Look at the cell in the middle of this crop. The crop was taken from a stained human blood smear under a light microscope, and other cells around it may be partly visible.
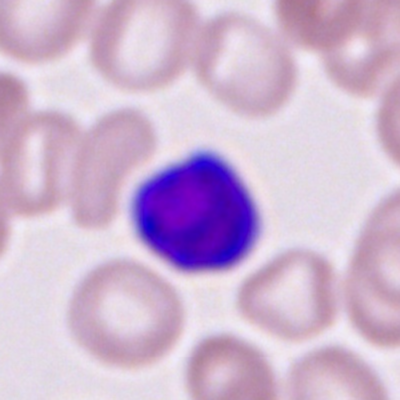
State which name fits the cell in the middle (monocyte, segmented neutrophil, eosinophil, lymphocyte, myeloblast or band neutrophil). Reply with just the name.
lymphocyte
